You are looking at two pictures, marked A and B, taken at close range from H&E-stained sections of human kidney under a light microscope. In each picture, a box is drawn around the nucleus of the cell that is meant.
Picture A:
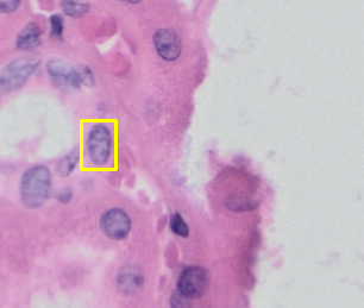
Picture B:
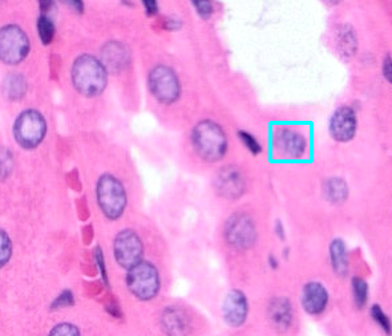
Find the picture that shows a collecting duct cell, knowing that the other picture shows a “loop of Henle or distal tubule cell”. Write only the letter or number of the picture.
A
